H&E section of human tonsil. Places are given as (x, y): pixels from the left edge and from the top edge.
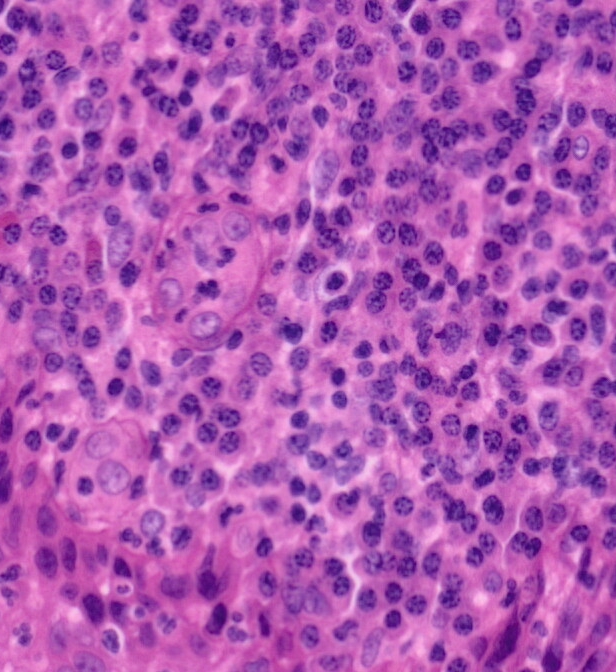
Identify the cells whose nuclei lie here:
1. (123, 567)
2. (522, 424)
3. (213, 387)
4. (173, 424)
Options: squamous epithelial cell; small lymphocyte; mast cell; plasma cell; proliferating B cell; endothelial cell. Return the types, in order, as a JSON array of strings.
["squamous epithelial cell", "plasma cell", "plasma cell", "plasma cell"]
